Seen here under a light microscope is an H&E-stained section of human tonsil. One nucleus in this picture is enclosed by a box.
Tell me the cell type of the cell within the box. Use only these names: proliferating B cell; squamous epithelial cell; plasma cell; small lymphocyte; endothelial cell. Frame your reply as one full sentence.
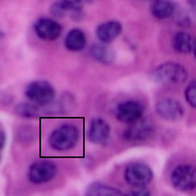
The cell type represented by the cell within the box is that of a plasma cell.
